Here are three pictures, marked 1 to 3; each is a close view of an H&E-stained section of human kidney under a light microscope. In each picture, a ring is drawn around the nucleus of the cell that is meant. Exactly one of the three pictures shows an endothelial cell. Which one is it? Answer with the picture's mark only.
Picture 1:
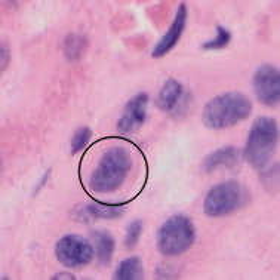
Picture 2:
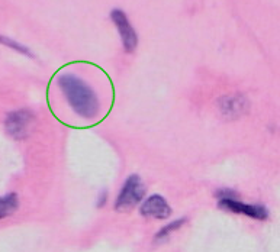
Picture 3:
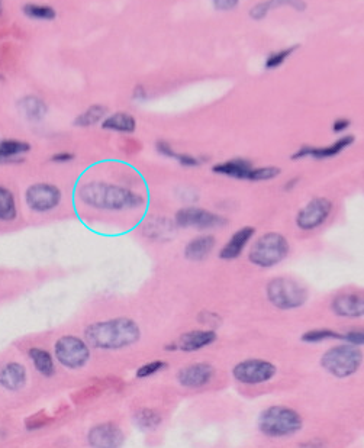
2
